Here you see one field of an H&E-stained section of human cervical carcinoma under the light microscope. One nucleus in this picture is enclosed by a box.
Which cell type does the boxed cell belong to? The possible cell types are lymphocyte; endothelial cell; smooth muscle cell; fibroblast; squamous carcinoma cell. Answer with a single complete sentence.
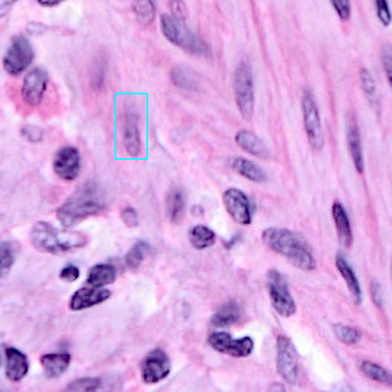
So far as cell type goes, the boxed cell is a smooth muscle cell.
